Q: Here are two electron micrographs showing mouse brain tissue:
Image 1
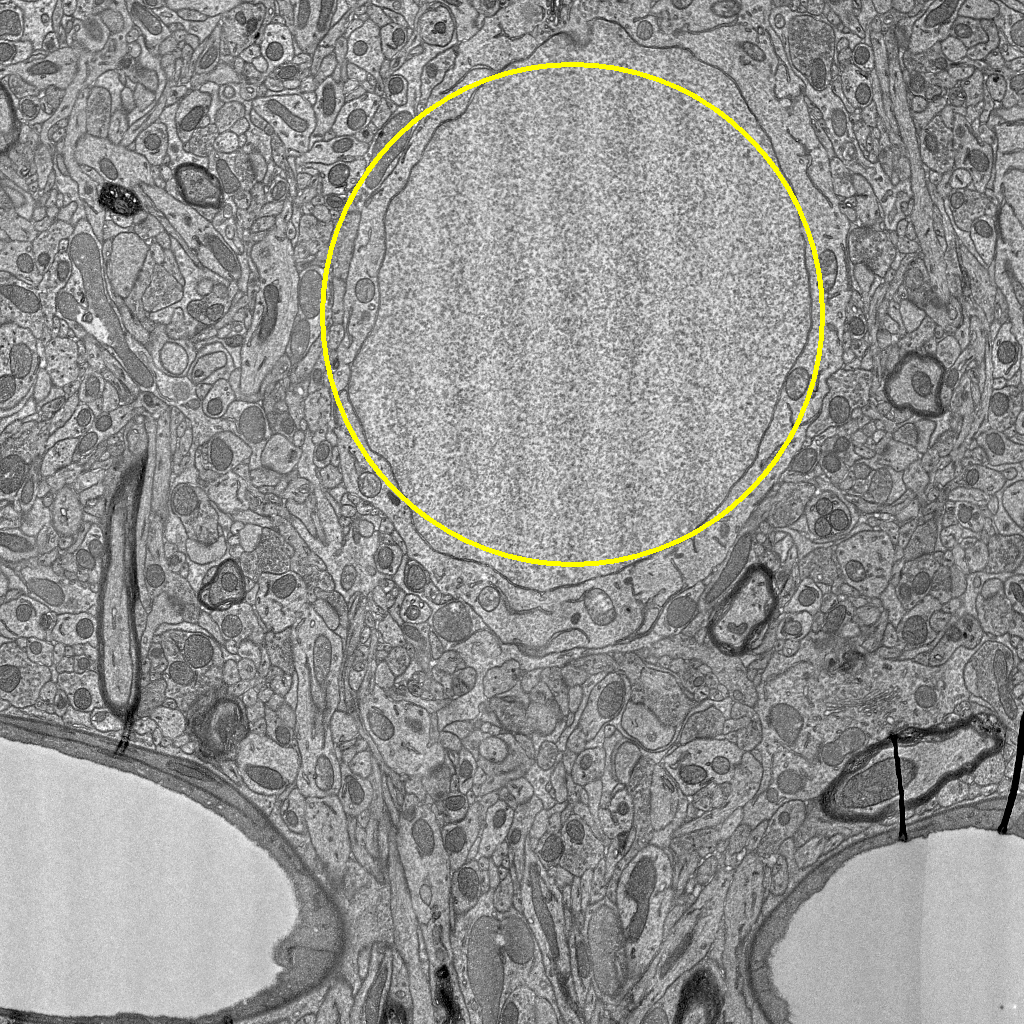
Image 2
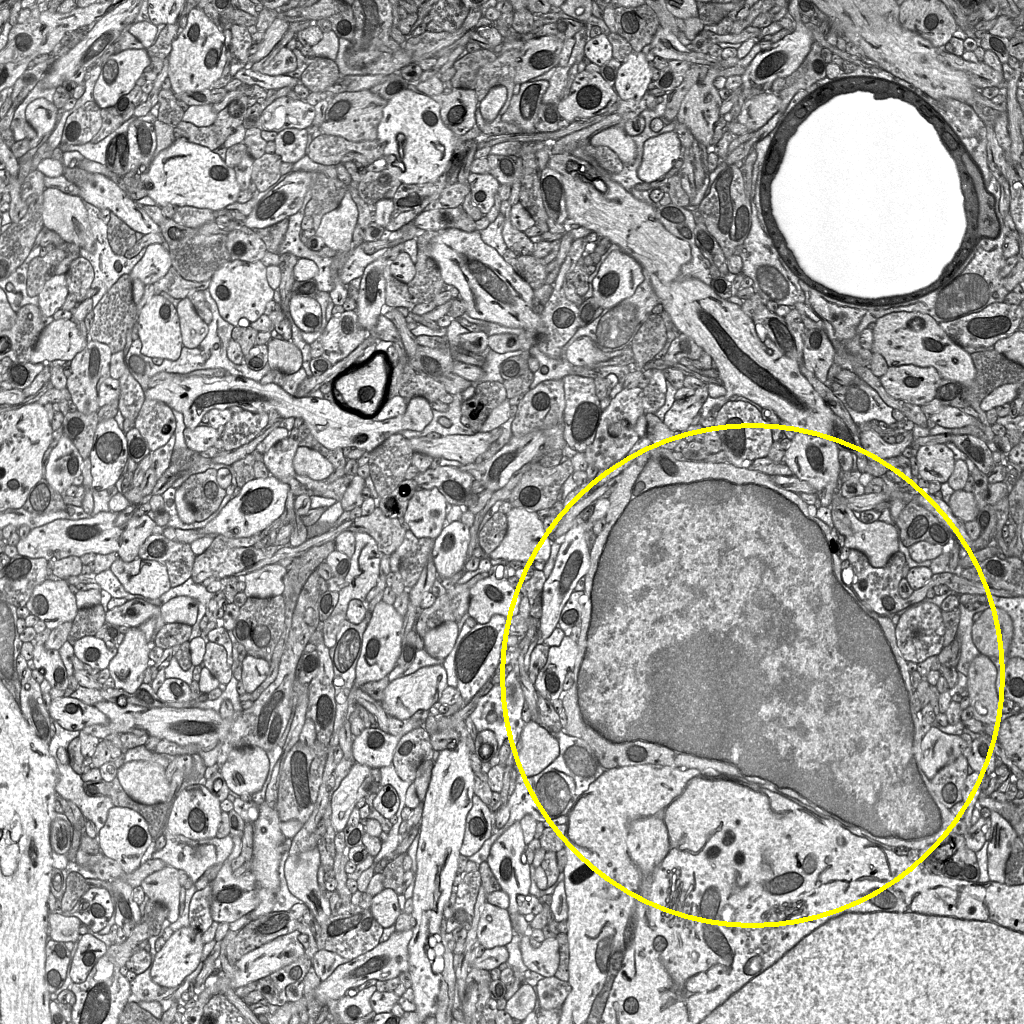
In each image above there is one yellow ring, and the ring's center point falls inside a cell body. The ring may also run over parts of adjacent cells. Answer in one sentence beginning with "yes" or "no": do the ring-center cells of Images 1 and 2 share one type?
No, in Images 1 and 2, the ring-center cells are of two types.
